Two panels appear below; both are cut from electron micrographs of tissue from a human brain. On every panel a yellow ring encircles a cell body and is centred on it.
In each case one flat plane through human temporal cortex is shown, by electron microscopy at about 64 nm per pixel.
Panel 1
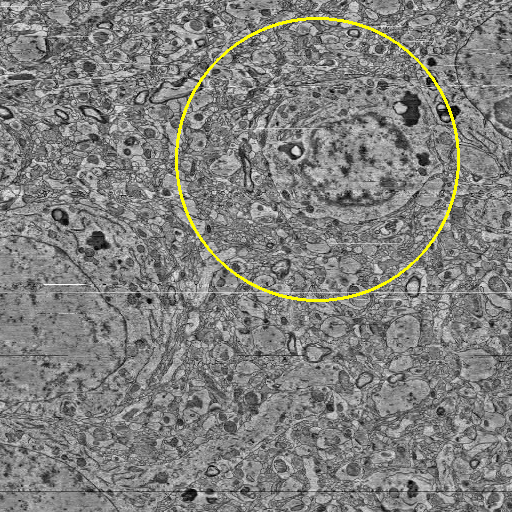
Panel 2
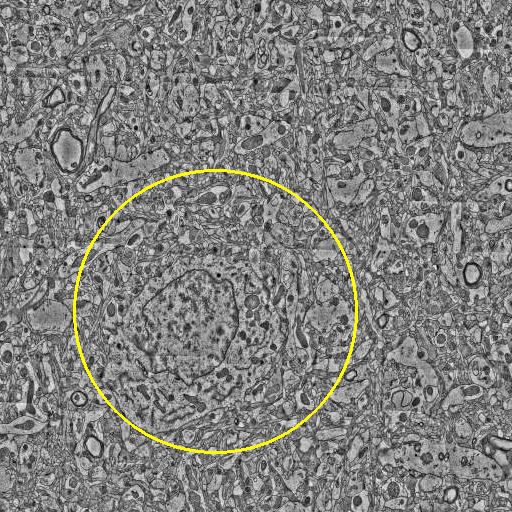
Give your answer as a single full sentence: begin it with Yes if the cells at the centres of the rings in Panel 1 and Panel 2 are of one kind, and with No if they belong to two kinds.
Yes, the cells in the middle of the rings in Panels 1 and 2 are of one kind.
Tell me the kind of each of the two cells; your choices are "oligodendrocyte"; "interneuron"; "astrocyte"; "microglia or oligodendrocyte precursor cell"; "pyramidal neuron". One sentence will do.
Both rings mark an interneuron, one in each picture.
